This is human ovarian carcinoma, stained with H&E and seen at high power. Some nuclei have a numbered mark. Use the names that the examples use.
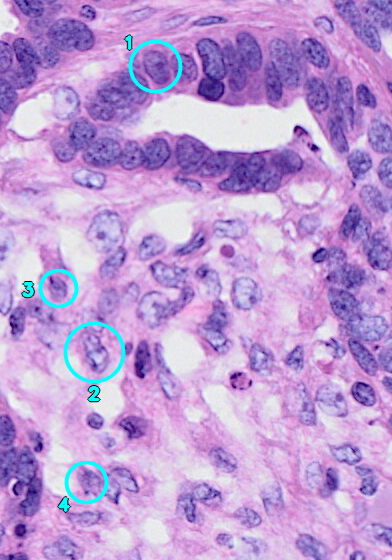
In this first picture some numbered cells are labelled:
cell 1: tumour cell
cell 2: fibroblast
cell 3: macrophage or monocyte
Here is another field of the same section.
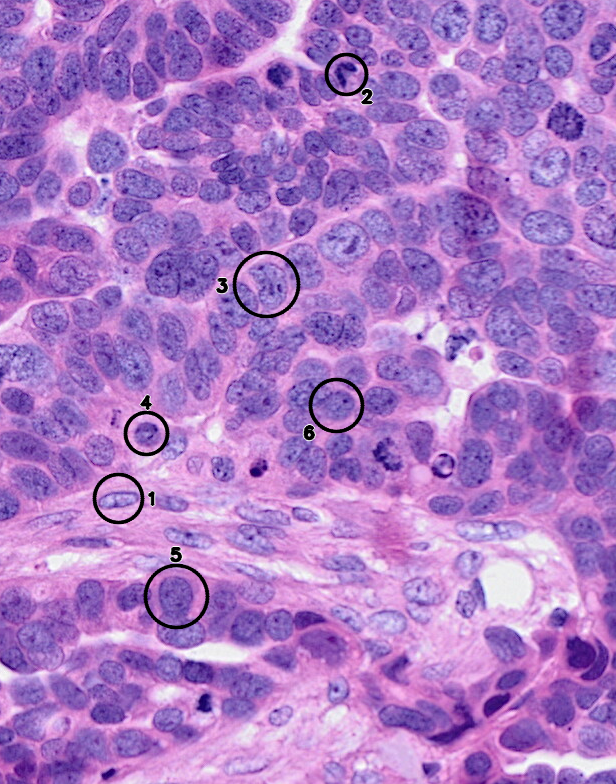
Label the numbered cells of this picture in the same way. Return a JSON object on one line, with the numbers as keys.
{"1": "fibroblast", "2": "tumour cell", "3": "tumour cell", "4": "macrophage or monocyte", "5": "tumour cell", "6": "tumour cell"}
